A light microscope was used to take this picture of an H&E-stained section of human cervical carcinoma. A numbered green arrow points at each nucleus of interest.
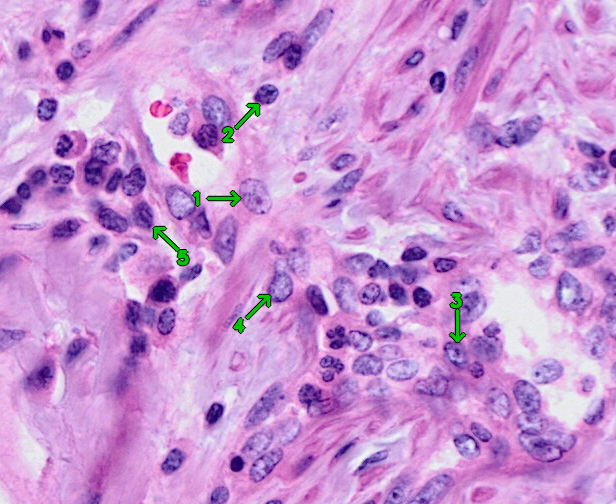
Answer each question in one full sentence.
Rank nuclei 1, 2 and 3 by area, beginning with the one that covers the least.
By area, going up from the smallest, they rank 2, 3, 1.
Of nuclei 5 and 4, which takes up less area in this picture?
The smaller nucleus is 5, and 4 covers roughly 1.5 times its area.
